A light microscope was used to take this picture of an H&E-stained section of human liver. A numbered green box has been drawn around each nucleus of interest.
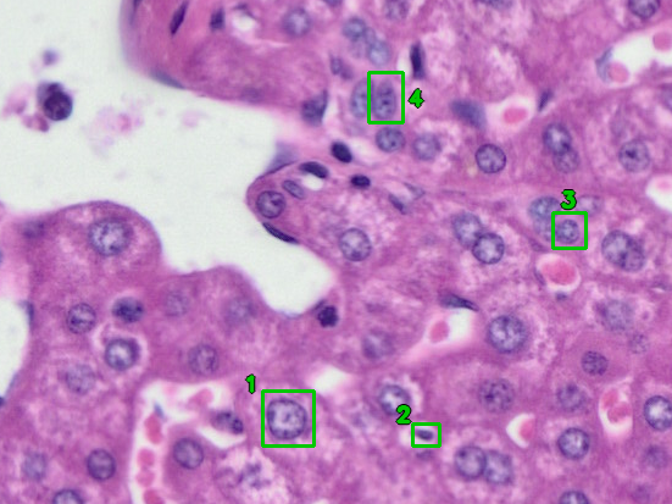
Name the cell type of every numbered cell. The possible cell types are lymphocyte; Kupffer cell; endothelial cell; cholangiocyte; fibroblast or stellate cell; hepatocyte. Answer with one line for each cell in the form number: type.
1: hepatocyte
2: lymphocyte
3: cholangiocyte
4: cholangiocyte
